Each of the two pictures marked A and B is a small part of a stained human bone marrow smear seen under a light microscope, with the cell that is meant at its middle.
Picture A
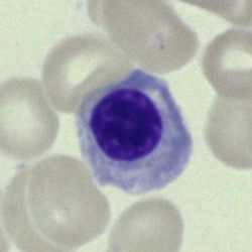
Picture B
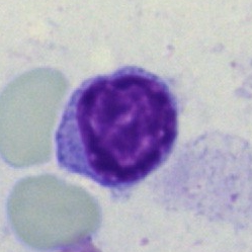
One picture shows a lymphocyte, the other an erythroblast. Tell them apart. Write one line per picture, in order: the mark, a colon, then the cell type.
A: erythroblast
B: lymphocyte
